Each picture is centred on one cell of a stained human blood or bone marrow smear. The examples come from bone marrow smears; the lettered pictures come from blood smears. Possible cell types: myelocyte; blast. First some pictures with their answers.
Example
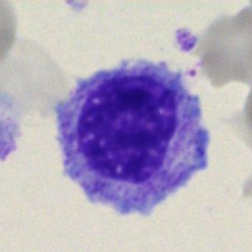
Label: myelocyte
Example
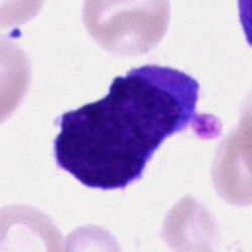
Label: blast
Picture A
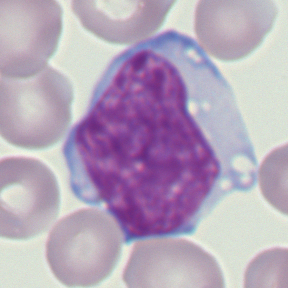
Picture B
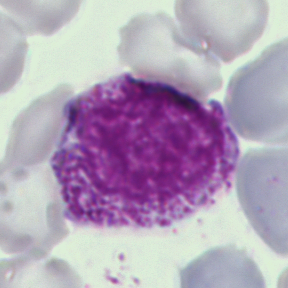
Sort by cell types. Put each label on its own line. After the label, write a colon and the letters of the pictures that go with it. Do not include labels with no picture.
myelocyte: B
blast: A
